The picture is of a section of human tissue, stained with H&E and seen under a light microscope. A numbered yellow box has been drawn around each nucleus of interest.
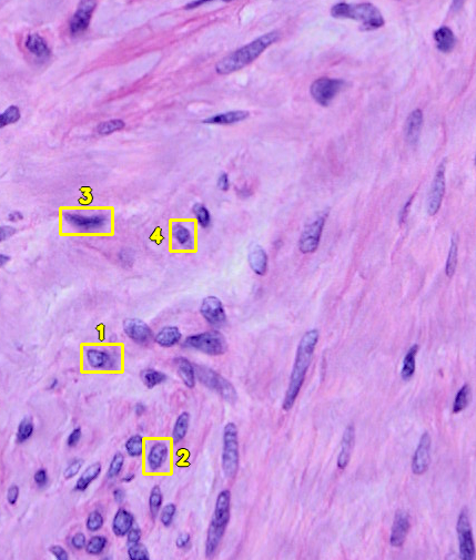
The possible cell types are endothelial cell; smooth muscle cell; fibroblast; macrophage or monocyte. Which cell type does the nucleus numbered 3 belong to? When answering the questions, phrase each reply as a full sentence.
In the tissue shown, cell 3 is a fibroblast.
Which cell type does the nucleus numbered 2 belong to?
The cell marked with the number 2 is a smooth muscle cell.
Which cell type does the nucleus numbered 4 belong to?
Numbered cell 4 is a smooth muscle cell in this tissue section.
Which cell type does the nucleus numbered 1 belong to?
The cell indicated by marker 1 is a smooth muscle cell in this section.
